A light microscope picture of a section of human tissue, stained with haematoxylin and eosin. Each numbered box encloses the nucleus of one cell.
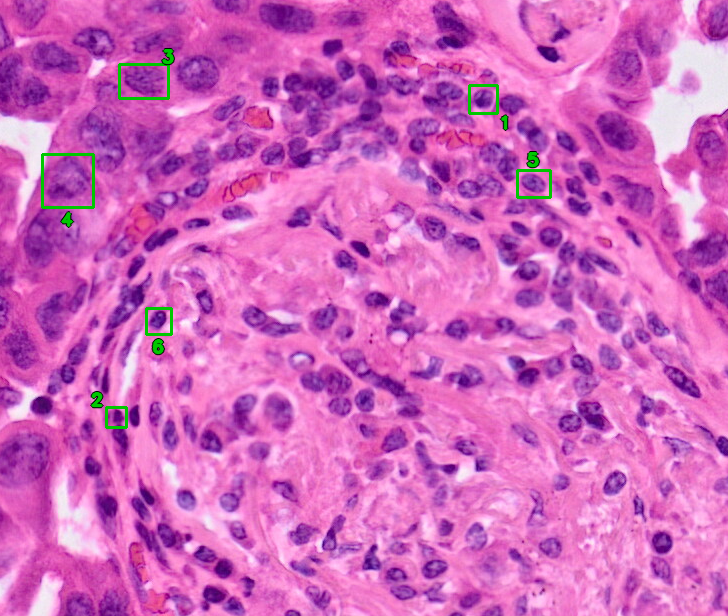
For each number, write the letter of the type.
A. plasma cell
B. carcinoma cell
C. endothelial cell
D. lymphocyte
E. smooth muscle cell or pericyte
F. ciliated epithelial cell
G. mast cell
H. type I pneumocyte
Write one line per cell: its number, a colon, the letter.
1: D
2: A
3: B
4: B
5: G
6: D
